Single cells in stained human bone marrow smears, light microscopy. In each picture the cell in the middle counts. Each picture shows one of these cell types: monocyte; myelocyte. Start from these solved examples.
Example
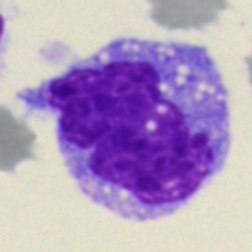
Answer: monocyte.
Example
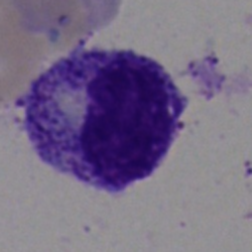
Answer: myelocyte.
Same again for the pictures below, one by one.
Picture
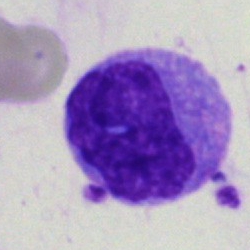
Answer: monocyte.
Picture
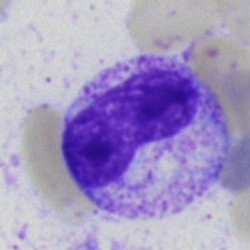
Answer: myelocyte.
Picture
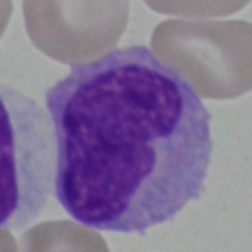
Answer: monocyte.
